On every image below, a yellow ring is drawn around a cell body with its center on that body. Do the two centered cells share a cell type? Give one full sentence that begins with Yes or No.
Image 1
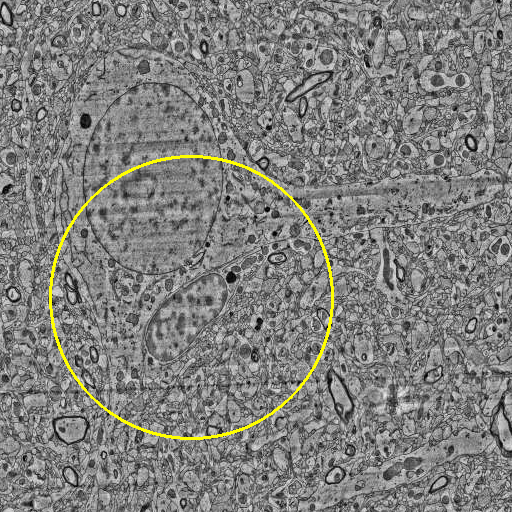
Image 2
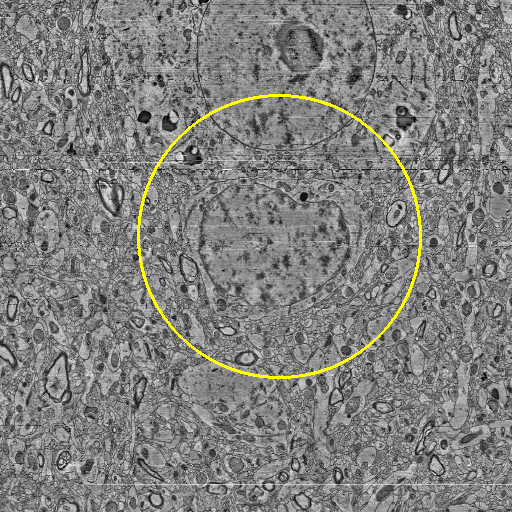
No, the centered cells in the two images are of two separate cell types.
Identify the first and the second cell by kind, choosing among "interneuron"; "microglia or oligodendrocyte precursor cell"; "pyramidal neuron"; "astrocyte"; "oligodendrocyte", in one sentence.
The one in the first picture is a microglial cell or oligodendrocyte precursor cell, while the one in the second is an interneuron.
